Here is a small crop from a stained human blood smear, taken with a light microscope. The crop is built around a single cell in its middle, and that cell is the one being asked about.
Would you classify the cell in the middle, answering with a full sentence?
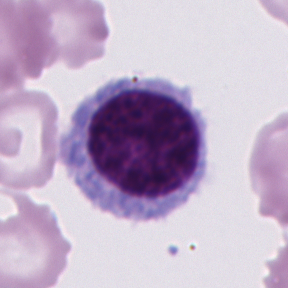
Located at the centre of the crop is a hairy cell.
